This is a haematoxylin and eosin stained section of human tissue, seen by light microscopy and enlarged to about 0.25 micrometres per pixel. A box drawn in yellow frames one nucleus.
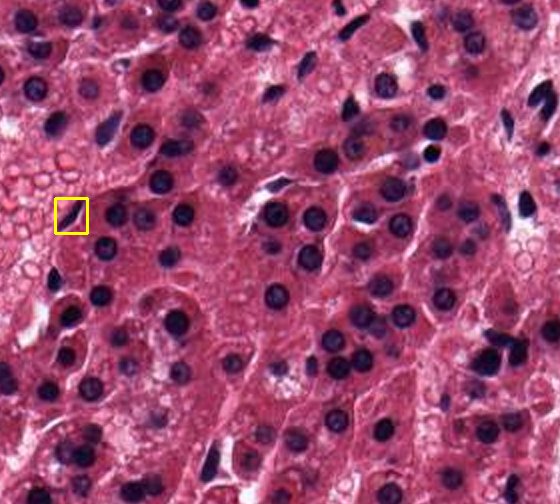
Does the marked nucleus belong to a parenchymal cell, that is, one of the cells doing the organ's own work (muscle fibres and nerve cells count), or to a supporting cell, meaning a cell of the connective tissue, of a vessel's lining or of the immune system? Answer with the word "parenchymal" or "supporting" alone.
supporting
